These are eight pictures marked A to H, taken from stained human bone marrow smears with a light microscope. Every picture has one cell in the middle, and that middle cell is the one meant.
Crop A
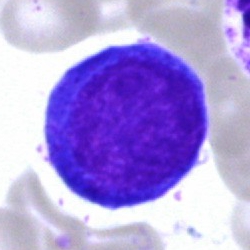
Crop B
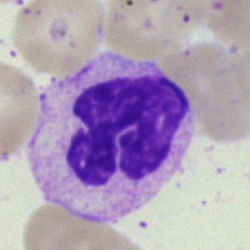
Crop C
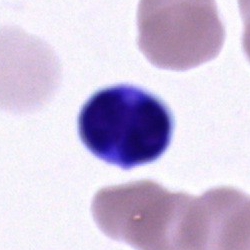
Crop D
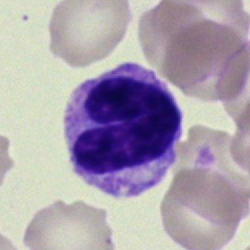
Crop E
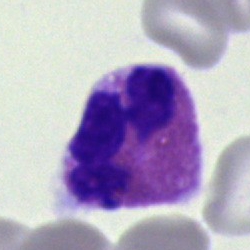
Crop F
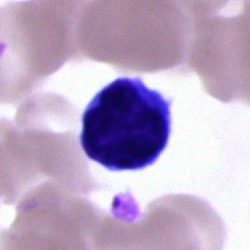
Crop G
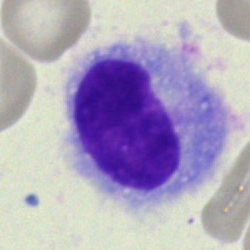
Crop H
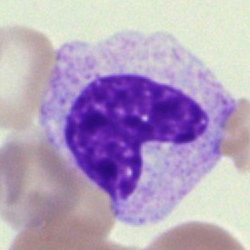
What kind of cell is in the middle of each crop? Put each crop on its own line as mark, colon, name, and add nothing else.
A: proerythroblast
B: segmented neutrophil
C: lymphocyte
D: band neutrophil
E: eosinophil
F: lymphocyte
G: hairy cell
H: metamyelocyte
